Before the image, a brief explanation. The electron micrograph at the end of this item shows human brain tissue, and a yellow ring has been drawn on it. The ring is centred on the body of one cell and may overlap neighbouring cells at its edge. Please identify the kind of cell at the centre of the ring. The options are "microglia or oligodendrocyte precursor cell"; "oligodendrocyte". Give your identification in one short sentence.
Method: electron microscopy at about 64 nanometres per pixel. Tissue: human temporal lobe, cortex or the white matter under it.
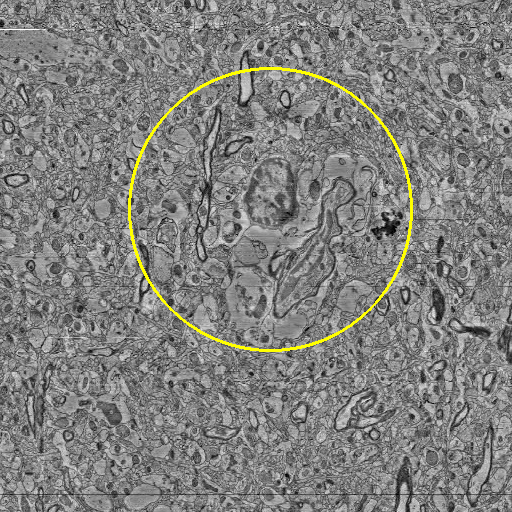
The ring has been placed around an oligodendrocyte.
